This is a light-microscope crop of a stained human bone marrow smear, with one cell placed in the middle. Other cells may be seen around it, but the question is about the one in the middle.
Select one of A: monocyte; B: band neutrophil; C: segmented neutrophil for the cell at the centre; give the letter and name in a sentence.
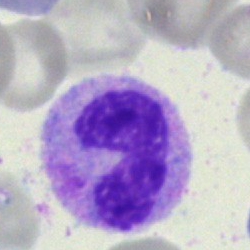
What option B states is correct, the central cell being a band neutrophil.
